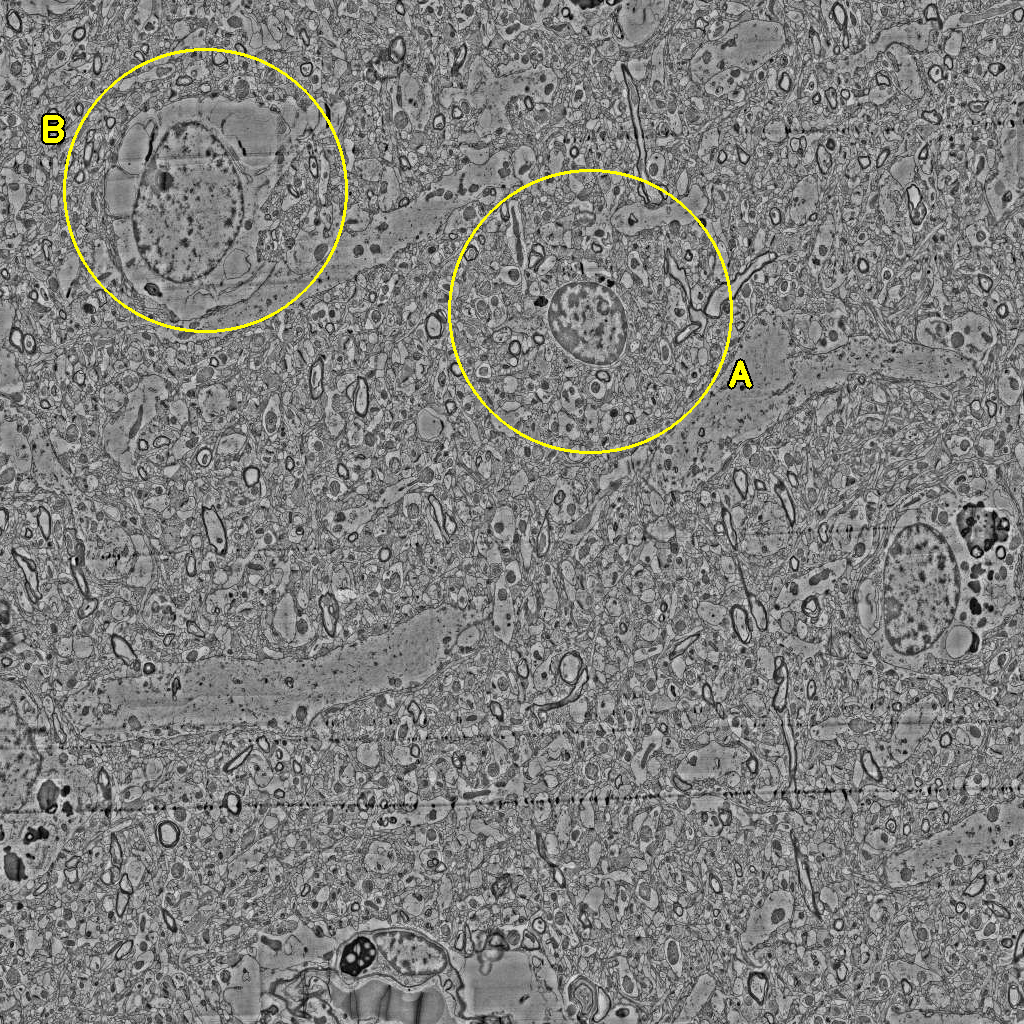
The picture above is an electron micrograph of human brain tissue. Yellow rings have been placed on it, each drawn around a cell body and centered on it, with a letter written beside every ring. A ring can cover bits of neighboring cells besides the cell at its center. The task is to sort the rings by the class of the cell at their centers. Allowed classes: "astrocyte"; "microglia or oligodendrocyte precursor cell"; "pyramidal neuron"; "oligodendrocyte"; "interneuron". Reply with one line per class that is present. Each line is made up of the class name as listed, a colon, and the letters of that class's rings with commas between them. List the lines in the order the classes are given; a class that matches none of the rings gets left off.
astrocyte: B
microglia or oligodendrocyte precursor cell: A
